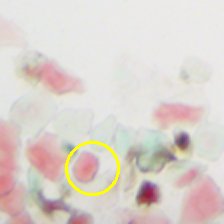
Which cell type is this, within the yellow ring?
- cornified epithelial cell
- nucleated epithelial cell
Within the ring is a cornified epithelial cell.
